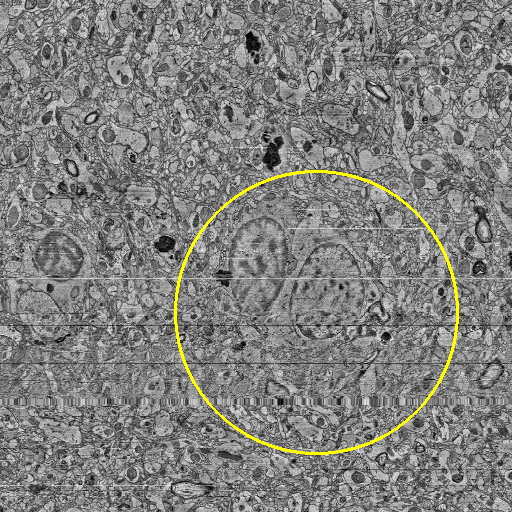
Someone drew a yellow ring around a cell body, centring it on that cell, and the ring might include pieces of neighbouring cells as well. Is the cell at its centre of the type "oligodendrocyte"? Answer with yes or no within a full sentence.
No, within the picture, the cell the ring is centred on is a different type.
